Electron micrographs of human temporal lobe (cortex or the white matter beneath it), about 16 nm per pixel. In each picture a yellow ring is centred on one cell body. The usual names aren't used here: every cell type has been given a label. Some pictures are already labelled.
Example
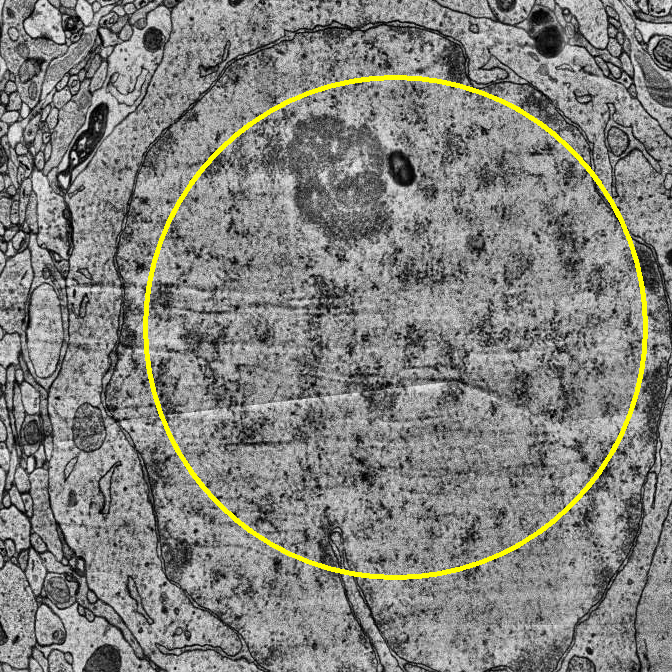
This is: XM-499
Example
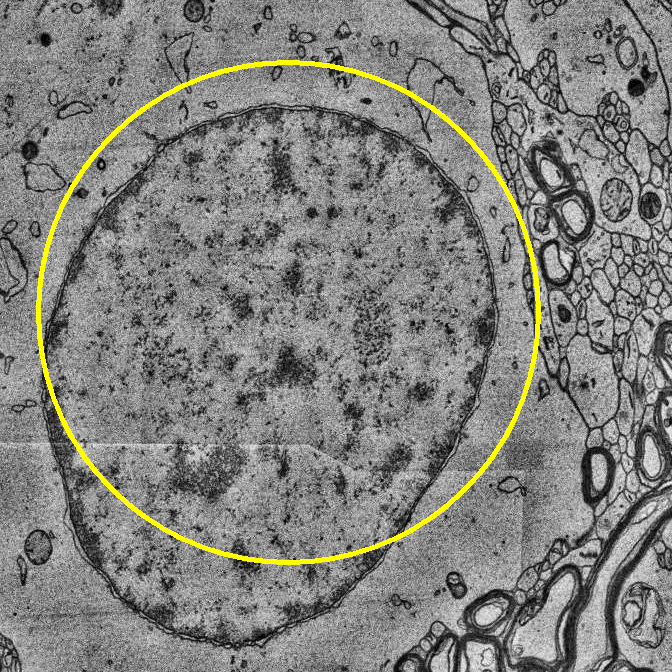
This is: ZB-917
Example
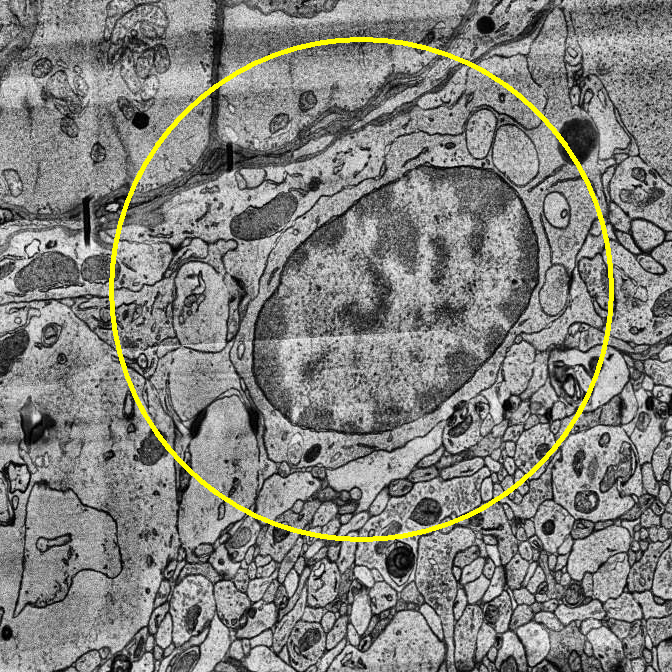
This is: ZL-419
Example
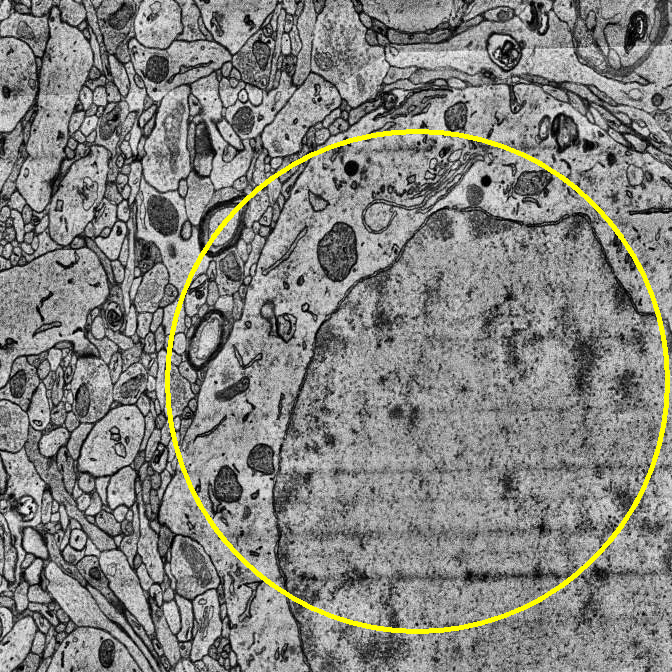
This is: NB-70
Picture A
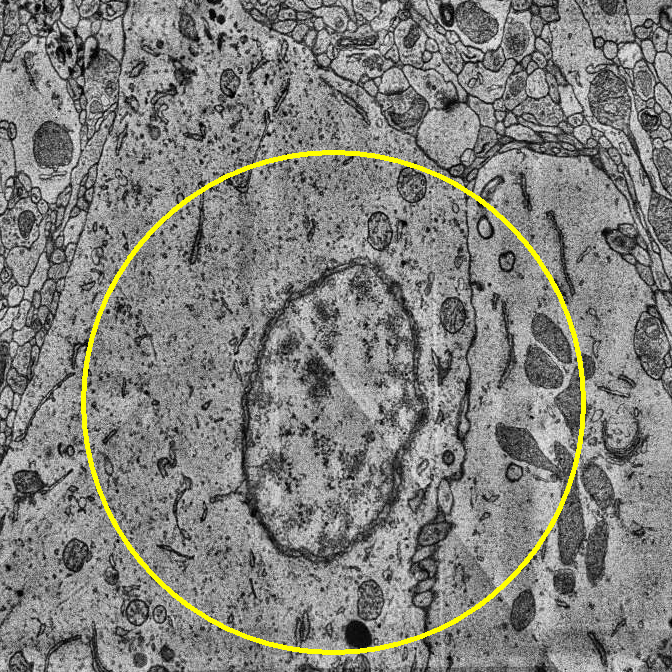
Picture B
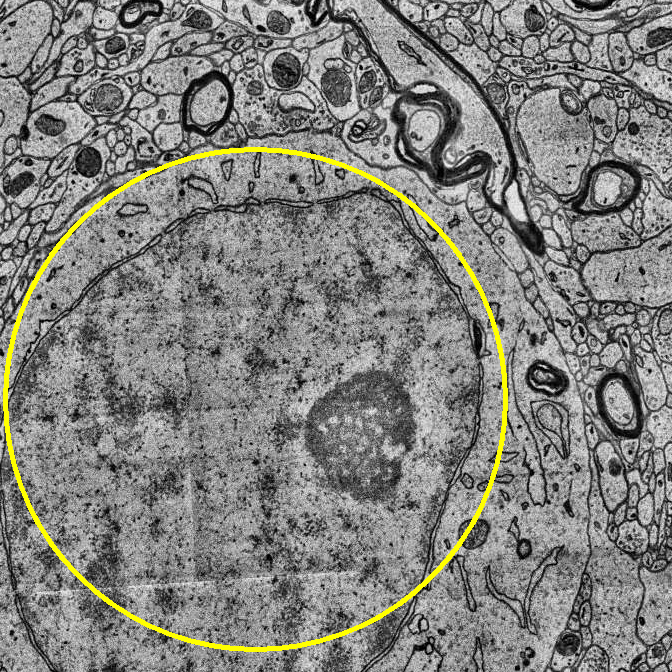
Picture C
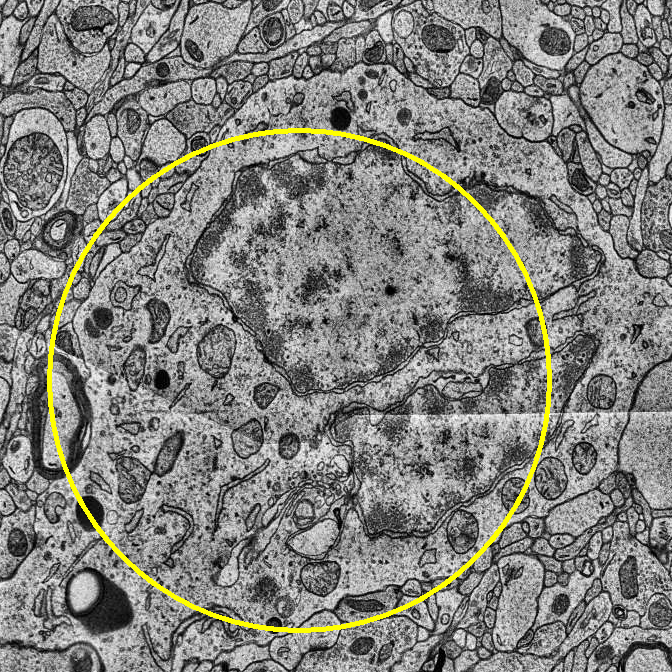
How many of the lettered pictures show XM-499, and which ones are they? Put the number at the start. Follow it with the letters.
2, namely B, C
